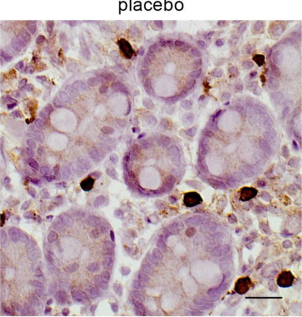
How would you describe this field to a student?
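The section shows mucosa cut across its crypts, each a ring of columnar epithelial cells with pale goblet-cell vacuoles around a small lumen, set in a loose connective tissue. Between the crypts lie scattered, compact, rounded cells that are filled with dense dark brown stain, standing out sharply against the purple-blue counterstained nuclei. A fainter, patchy light brown haze also lies in the tissue between crypts.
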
